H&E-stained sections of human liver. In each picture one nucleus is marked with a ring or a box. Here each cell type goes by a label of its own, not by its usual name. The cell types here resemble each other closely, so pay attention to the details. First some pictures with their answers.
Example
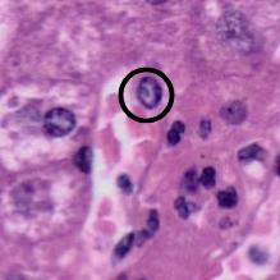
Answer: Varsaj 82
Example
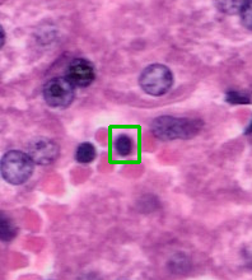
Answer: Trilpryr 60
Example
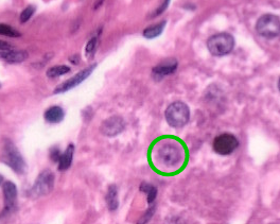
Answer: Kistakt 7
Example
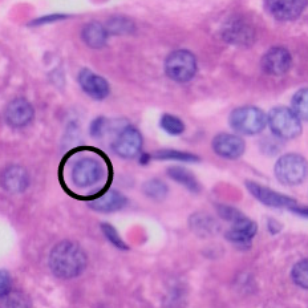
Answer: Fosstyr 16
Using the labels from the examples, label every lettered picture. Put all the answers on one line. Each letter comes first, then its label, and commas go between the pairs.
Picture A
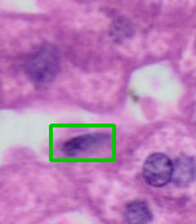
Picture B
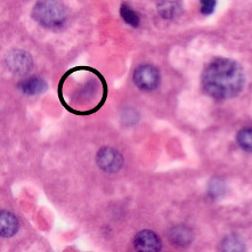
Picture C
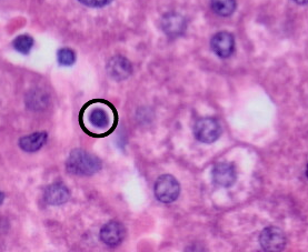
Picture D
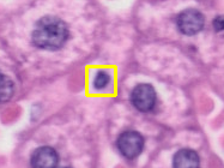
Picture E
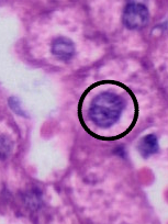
A Varsaj 82, B Varsaj 82, C Trilpryr 60, D Trilpryr 60, E Kistakt 7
